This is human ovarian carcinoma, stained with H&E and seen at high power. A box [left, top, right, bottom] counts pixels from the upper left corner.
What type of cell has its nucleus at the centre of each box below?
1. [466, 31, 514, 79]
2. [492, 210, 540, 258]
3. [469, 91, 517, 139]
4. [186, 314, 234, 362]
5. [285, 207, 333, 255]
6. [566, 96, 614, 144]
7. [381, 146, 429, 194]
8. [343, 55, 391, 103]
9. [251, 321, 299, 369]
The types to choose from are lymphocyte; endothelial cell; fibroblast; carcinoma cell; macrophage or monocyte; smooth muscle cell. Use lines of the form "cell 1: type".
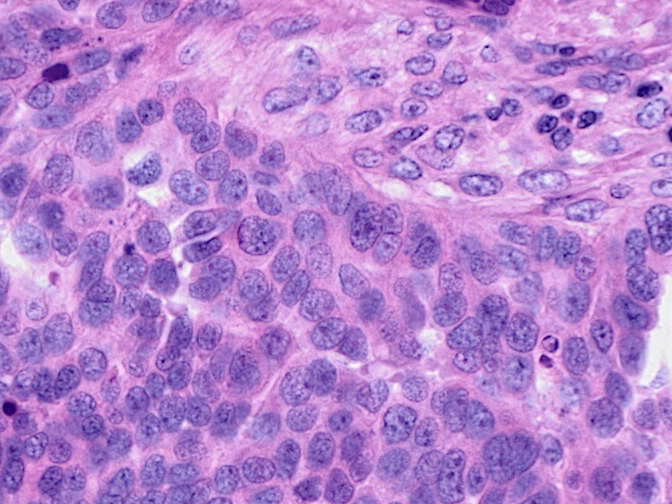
cell 1: fibroblast
cell 2: carcinoma cell
cell 3: lymphocyte
cell 4: carcinoma cell
cell 5: carcinoma cell
cell 6: lymphocyte
cell 7: fibroblast
cell 8: fibroblast
cell 9: carcinoma cell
